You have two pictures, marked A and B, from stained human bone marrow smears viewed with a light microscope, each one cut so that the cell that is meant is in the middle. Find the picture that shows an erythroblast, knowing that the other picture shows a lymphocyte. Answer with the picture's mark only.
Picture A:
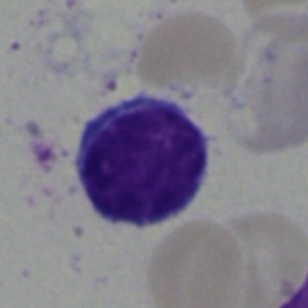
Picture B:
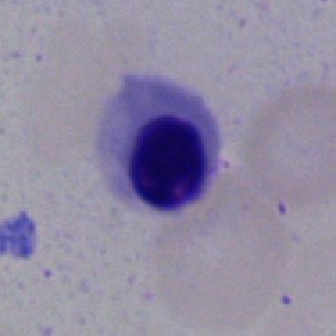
B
